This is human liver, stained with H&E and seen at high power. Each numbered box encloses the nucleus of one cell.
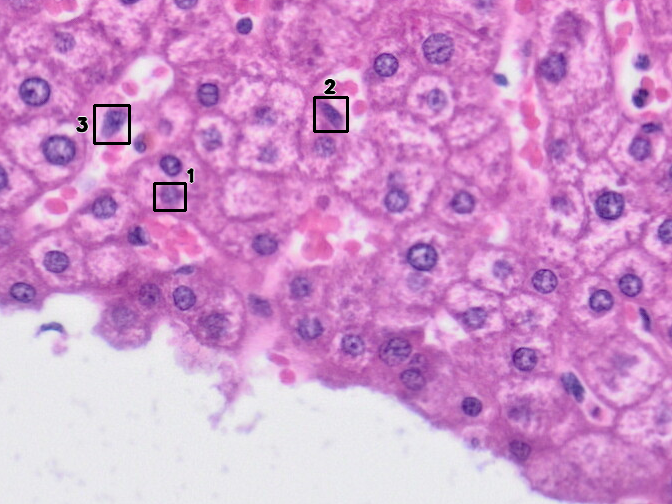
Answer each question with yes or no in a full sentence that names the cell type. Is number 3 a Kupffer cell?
Yes, number 3 is assigned to a cell that is a Kupffer cell.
